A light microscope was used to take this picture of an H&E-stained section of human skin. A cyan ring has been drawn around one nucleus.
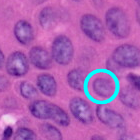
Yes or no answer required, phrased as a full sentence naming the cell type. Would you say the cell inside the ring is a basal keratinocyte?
No, on this one the cell inside the ring is a suprabasal keratinocyte, not a basal keratinocyte.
